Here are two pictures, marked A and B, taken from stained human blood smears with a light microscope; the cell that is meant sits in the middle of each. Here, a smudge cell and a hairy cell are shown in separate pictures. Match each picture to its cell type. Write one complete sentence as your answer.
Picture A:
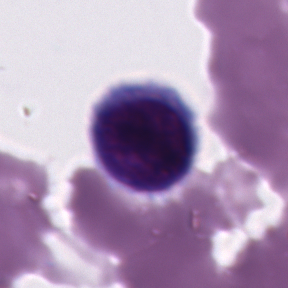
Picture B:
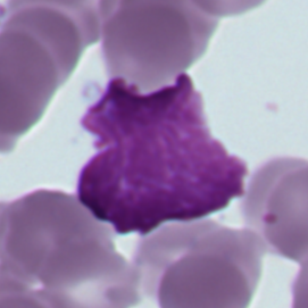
Picture A is of a hairy cell, and picture B is of a smudge cell.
